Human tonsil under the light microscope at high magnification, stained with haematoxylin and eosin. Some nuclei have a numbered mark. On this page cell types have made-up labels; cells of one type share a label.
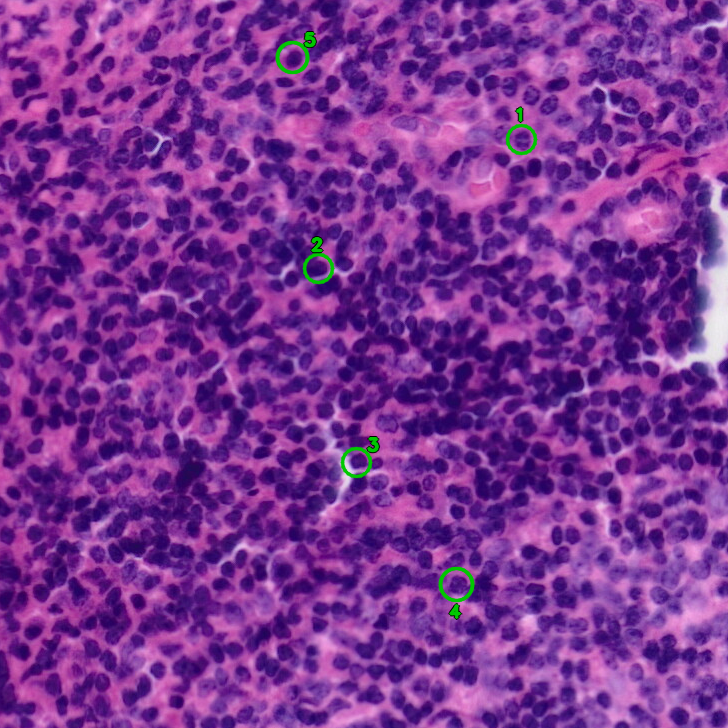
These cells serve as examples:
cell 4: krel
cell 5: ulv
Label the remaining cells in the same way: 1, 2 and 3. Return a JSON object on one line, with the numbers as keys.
{"1": "ulv", "2": "krel", "3": "krel"}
